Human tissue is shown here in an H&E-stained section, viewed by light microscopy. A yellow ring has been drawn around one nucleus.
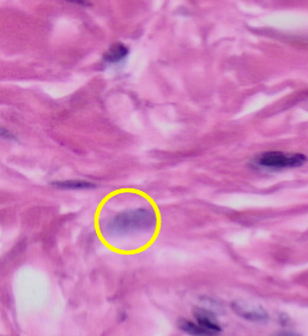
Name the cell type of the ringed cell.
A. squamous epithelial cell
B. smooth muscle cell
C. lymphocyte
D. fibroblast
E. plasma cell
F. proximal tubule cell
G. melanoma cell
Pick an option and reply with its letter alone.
D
